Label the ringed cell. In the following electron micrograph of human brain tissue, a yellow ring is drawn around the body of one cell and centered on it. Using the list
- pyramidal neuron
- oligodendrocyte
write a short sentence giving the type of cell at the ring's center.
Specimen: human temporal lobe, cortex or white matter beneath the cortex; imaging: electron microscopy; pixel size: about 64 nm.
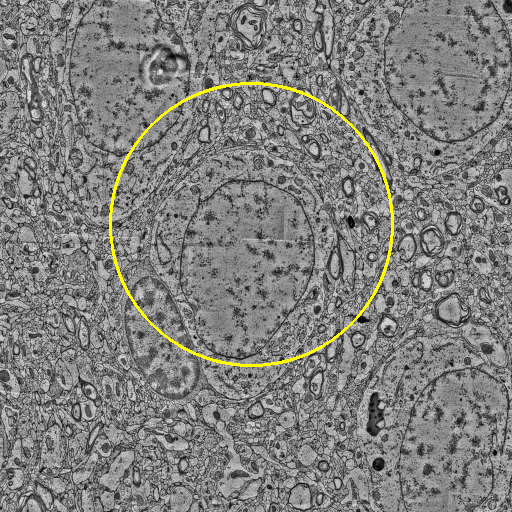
The cell body at the ring's center is that of a pyramidal neuron.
